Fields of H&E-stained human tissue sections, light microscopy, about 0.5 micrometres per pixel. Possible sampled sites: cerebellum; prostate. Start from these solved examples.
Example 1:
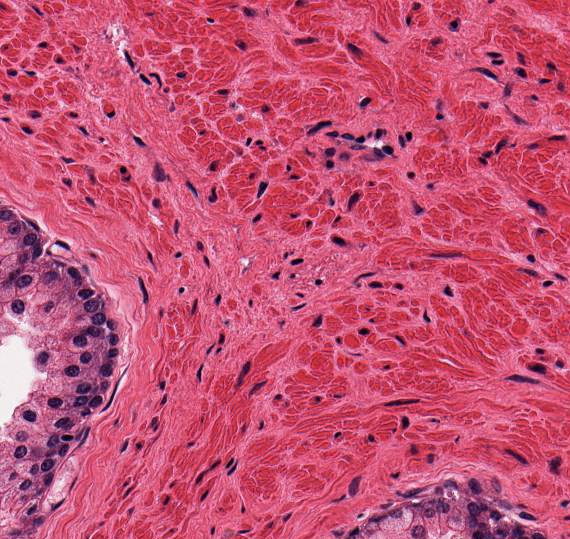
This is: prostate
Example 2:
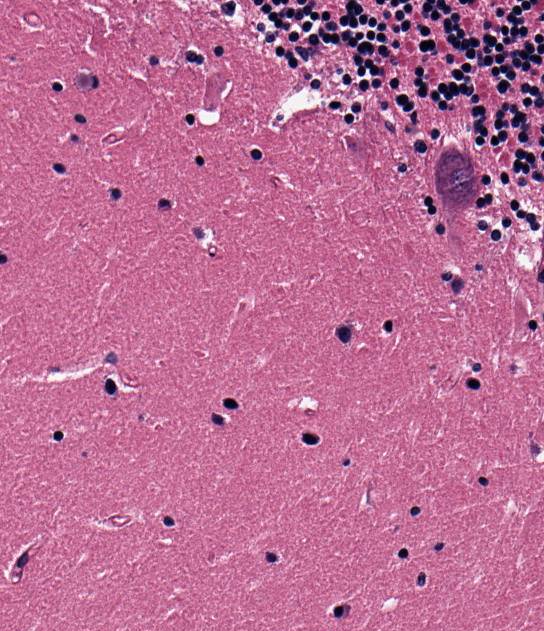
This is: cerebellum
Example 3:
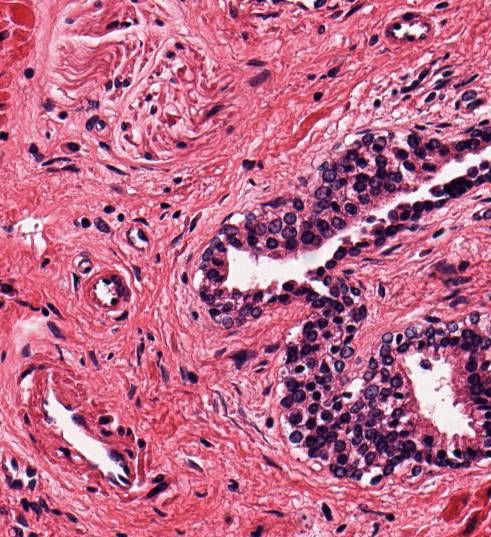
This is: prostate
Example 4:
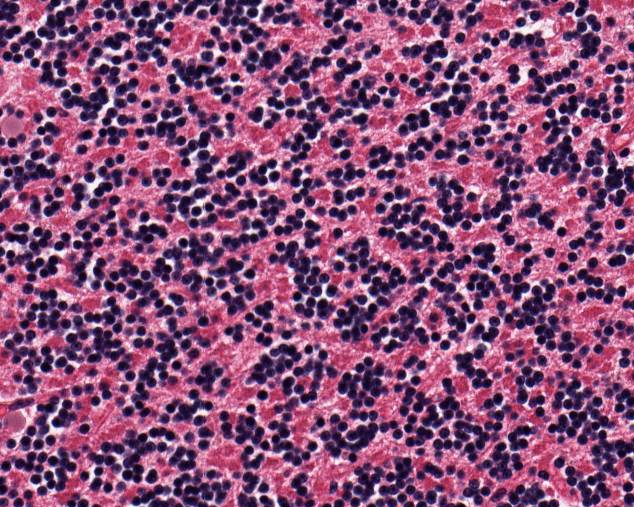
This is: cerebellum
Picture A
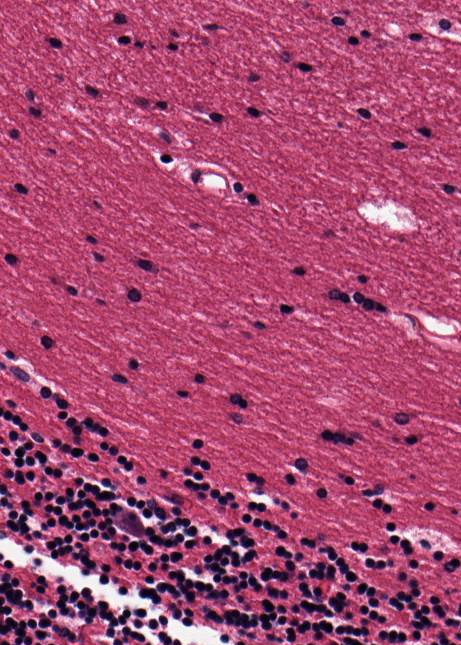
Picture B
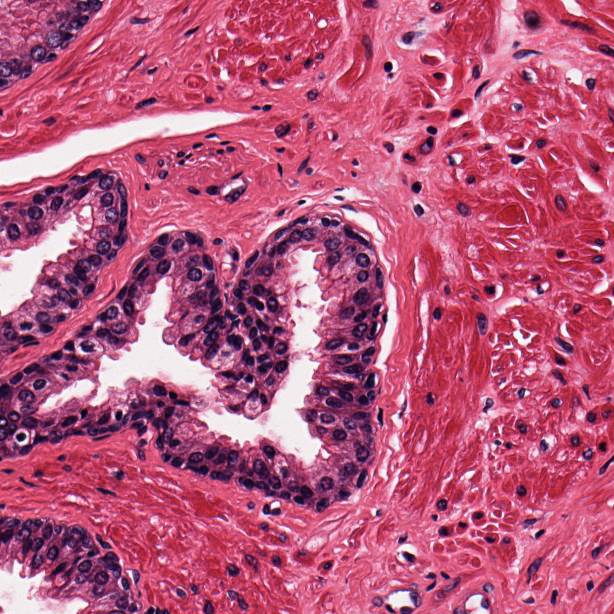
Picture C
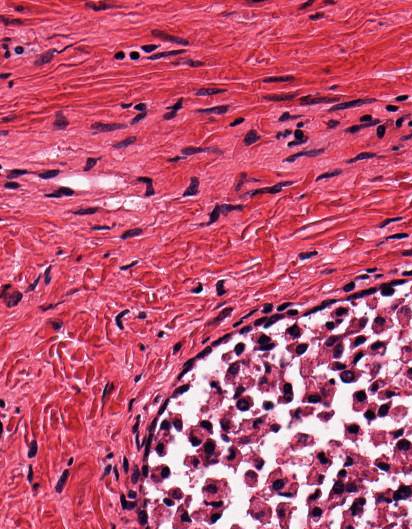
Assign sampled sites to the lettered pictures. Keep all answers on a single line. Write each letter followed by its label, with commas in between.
A cerebellum, B prostate, C prostate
